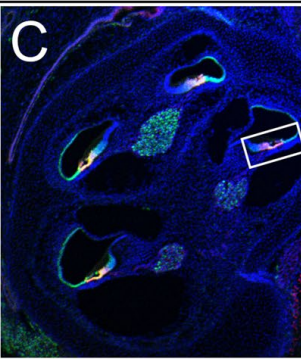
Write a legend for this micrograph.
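A cross-section through a coiled organ shows several turns of a fluid-filled duct, each with a thin green-lined epithelium and a bright yellow-red thickening on its floor, surrounded by blue-stained tissue. Between the turns lie rounded clusters of green nuclei in the central core. This is a section of the cochlea, with its sensory epithelium on the floor of each turn.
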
